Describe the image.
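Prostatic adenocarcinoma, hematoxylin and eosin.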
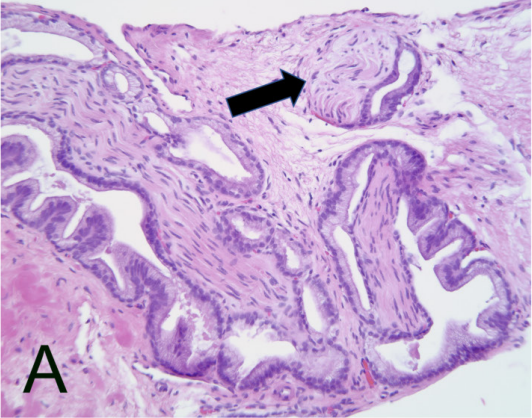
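Pale pink bands of wavy, loosely fibrillar tissue with sparse slender nuclei run through the field, and glands lined by crowded dark purple epithelium hug their borders. The glands have irregular, folded lumens that are empty and white, and their lining cells sit in tight rows with dark nuclei. At the top a small oval fibrillar bundle is cupped on one side by a curved gland. The wavy pink bundles are nerves, and the glands wrapping around them are cancer growing along and around the nerves.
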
